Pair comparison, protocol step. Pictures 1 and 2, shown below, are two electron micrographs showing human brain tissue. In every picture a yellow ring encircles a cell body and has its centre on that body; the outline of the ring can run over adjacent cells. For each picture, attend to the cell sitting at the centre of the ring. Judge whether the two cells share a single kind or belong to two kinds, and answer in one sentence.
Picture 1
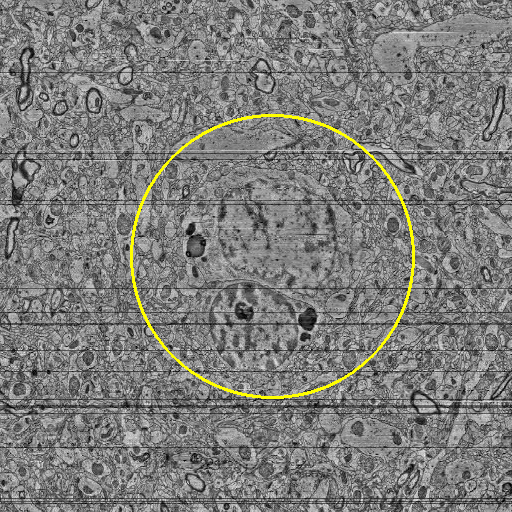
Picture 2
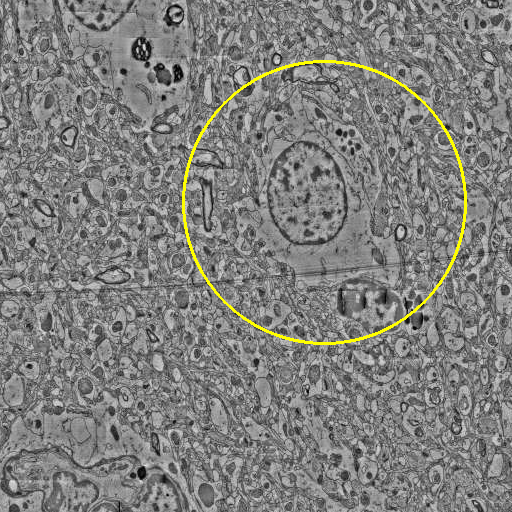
The two cells at the ring centres in Picture 1 and Picture 2 belong to two kinds.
